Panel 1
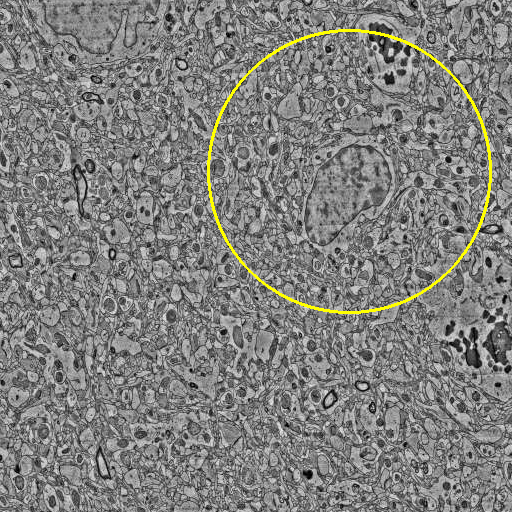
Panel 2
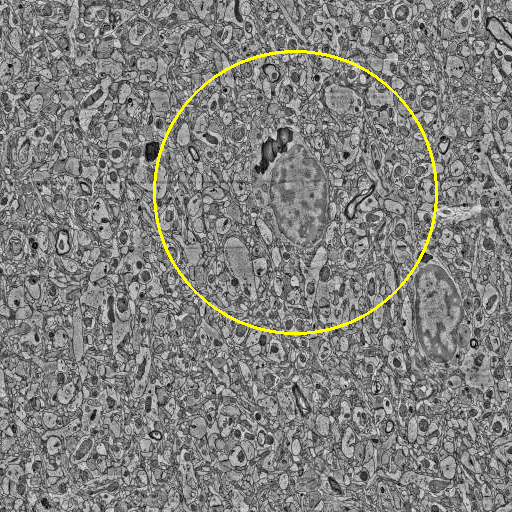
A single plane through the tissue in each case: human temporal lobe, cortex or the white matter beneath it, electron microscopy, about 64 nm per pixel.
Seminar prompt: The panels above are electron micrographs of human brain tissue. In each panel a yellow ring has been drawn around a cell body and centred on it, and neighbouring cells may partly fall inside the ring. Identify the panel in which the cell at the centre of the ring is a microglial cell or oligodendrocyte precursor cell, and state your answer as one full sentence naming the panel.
Panel 1 has it at the centre of its ring.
